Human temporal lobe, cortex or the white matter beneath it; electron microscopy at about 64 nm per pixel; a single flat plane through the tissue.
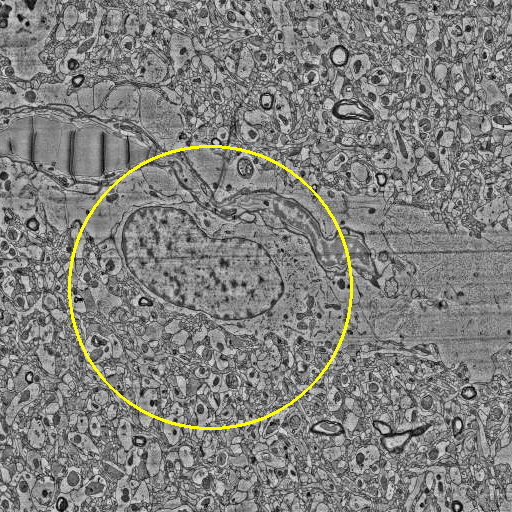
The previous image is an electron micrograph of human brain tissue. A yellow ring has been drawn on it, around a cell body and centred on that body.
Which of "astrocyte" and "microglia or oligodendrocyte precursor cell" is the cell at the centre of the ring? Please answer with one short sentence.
The cell body at the centre of the ring belongs to a microglial cell or oligodendrocyte precursor cell.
